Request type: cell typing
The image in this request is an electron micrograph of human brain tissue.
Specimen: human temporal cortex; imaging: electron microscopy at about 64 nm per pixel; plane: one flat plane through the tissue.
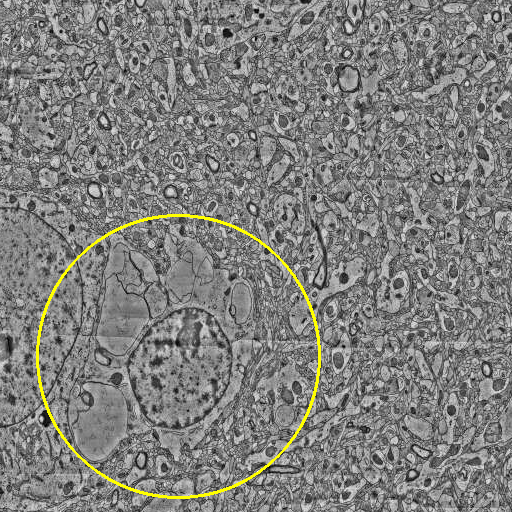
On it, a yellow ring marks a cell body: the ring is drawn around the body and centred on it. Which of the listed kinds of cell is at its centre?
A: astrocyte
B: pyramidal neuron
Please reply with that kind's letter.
A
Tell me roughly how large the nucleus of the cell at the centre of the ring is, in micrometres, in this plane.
The nucleus is approximately 8 micrometers long by 7 micrometers wide in this plane.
